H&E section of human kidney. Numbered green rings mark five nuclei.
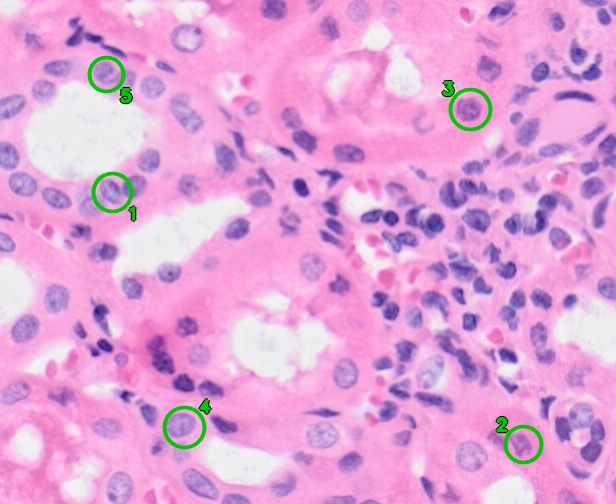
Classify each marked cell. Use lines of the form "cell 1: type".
cell 1: collecting duct cell
cell 2: proximal tubule cell
cell 3: proximal tubule cell
cell 4: collecting duct cell
cell 5: collecting duct cell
